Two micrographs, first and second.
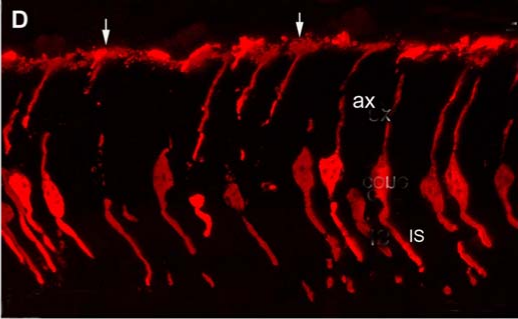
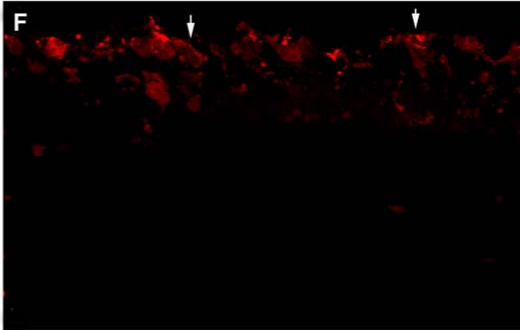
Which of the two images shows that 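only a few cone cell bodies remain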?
The second image.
